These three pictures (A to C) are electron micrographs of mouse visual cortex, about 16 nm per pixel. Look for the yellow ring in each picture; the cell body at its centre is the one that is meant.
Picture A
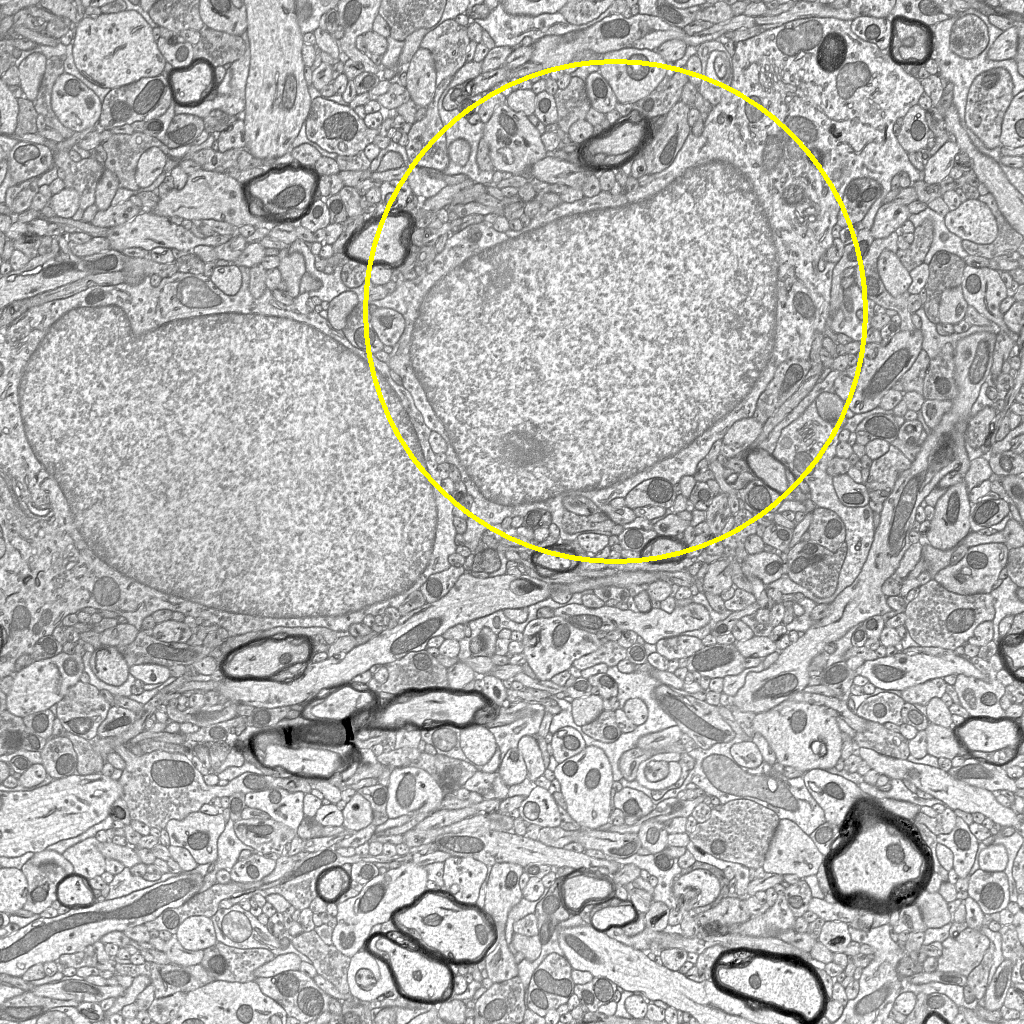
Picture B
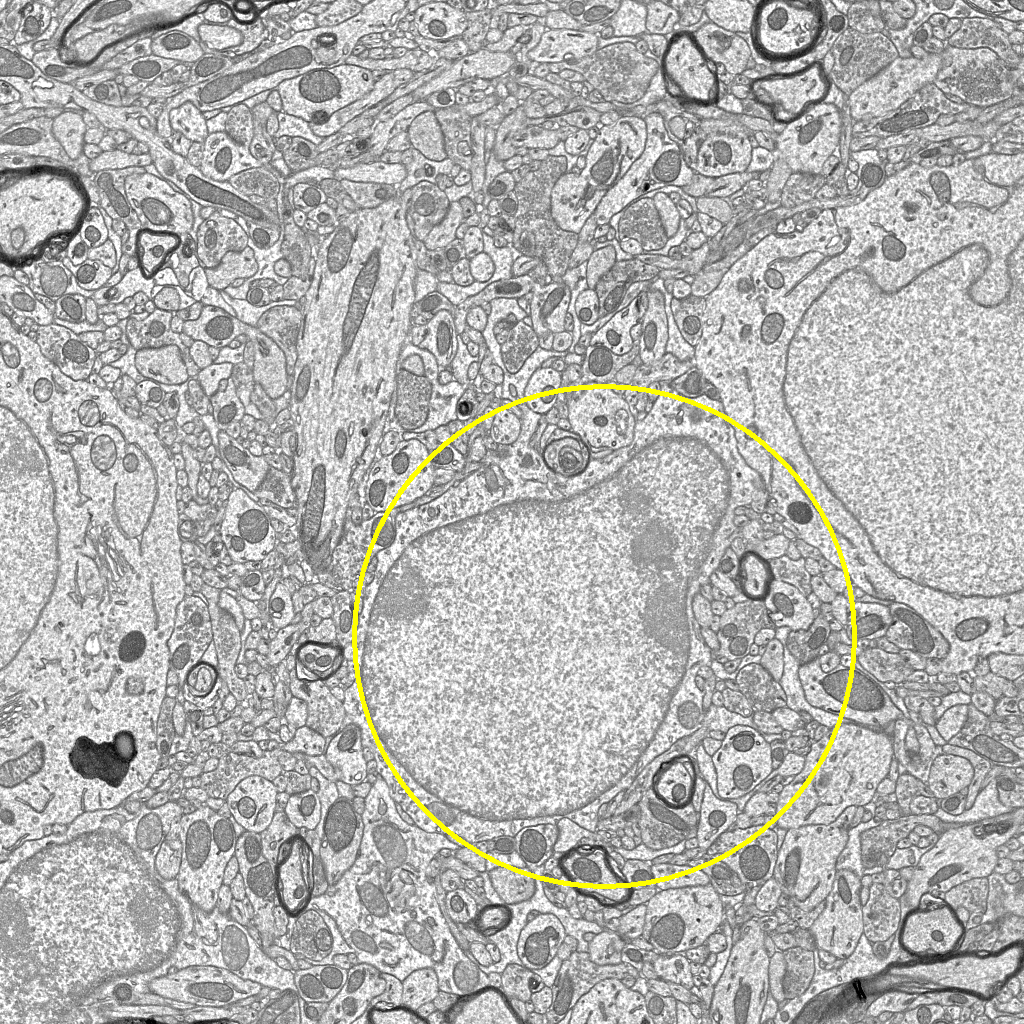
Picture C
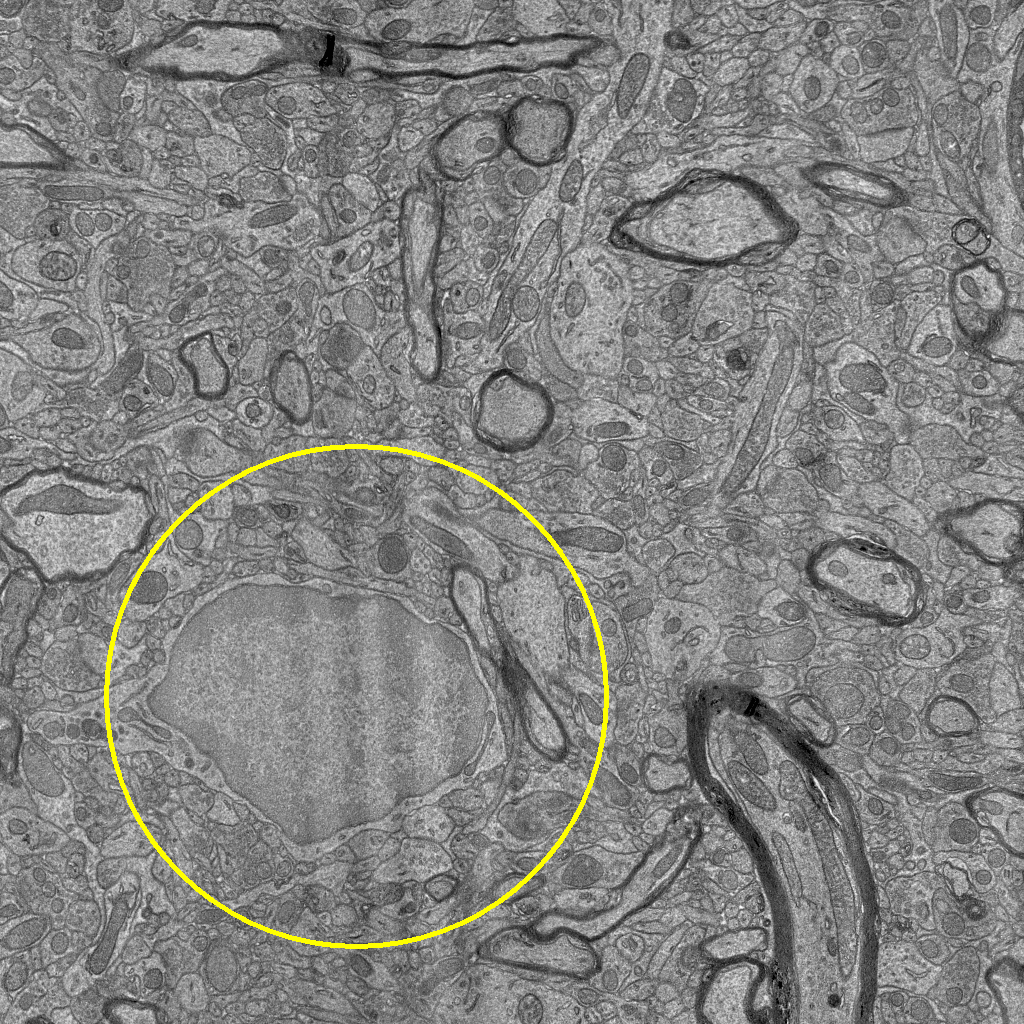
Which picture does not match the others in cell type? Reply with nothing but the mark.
C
